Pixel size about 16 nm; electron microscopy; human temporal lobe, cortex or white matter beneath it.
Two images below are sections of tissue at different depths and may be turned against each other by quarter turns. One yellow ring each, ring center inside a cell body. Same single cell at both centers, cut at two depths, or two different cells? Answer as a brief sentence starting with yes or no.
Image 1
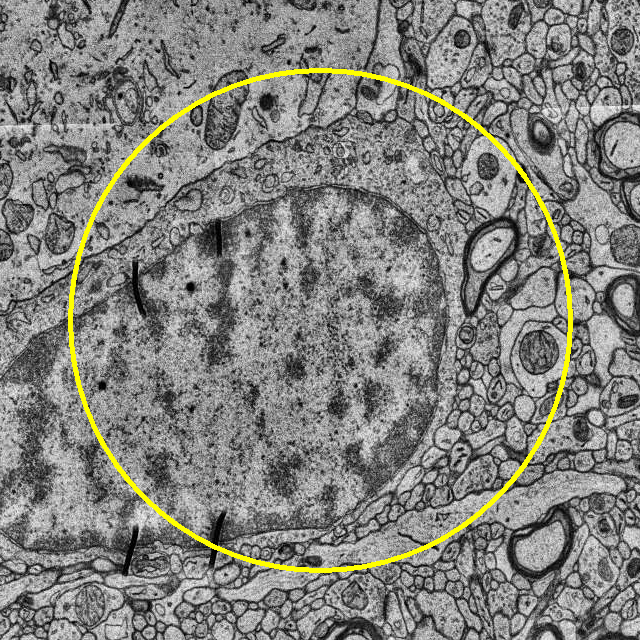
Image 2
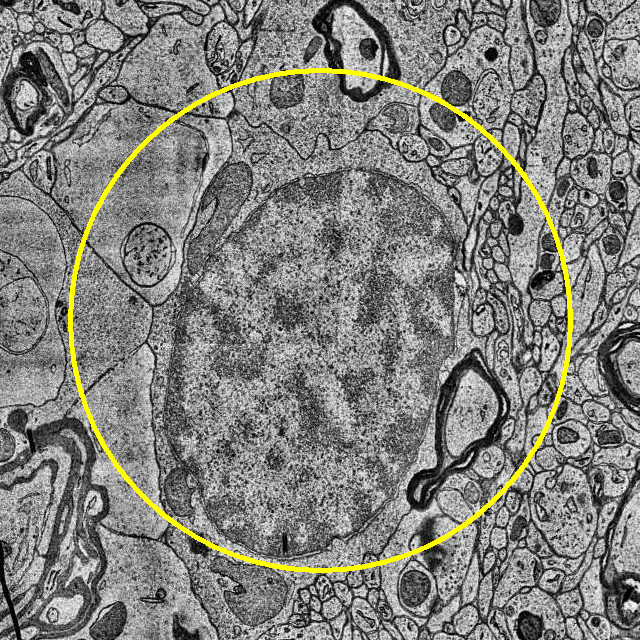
No, what the two rings mark is two different cells.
